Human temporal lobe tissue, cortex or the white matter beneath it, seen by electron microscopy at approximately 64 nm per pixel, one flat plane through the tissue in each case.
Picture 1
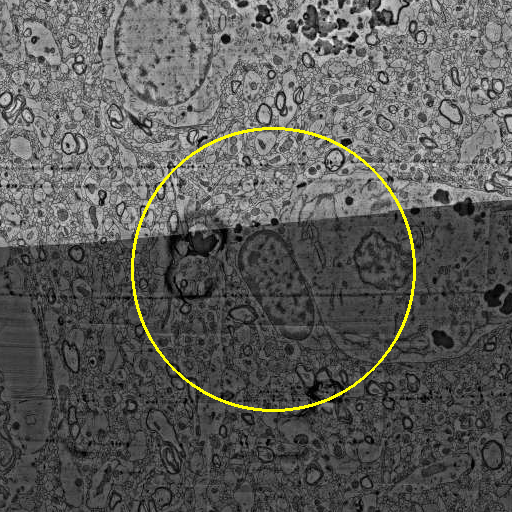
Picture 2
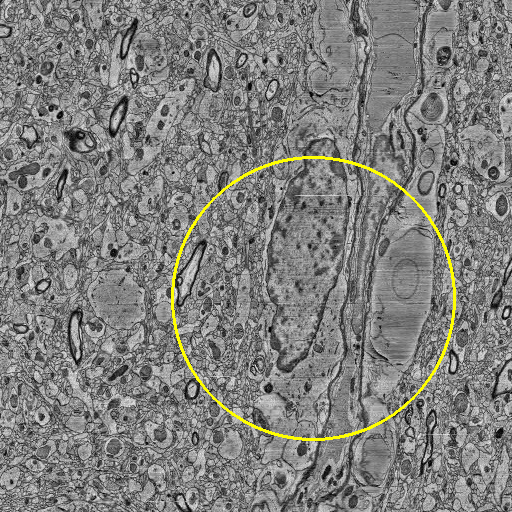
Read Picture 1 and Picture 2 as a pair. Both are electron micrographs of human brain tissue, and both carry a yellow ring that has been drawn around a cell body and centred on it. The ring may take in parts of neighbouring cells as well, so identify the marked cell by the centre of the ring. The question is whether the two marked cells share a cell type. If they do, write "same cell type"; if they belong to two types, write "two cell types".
same cell type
